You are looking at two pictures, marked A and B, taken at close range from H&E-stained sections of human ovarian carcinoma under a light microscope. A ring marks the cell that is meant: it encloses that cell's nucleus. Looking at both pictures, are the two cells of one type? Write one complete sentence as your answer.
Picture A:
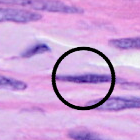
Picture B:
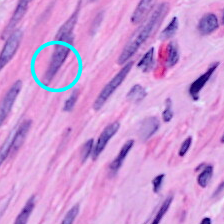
Yes, the two pictures both show smooth muscle cells.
